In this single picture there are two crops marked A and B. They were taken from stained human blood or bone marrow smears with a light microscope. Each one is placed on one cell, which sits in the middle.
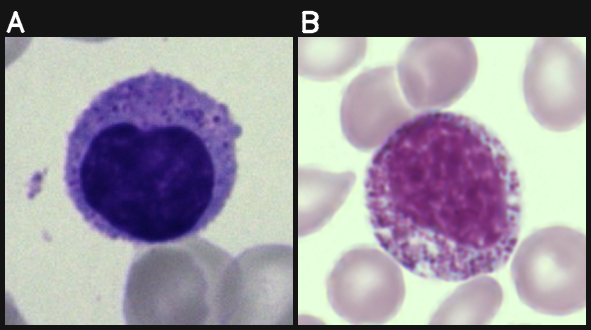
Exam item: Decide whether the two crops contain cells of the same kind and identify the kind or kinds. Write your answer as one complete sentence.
Yes, both crops in this set show myelocytes.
